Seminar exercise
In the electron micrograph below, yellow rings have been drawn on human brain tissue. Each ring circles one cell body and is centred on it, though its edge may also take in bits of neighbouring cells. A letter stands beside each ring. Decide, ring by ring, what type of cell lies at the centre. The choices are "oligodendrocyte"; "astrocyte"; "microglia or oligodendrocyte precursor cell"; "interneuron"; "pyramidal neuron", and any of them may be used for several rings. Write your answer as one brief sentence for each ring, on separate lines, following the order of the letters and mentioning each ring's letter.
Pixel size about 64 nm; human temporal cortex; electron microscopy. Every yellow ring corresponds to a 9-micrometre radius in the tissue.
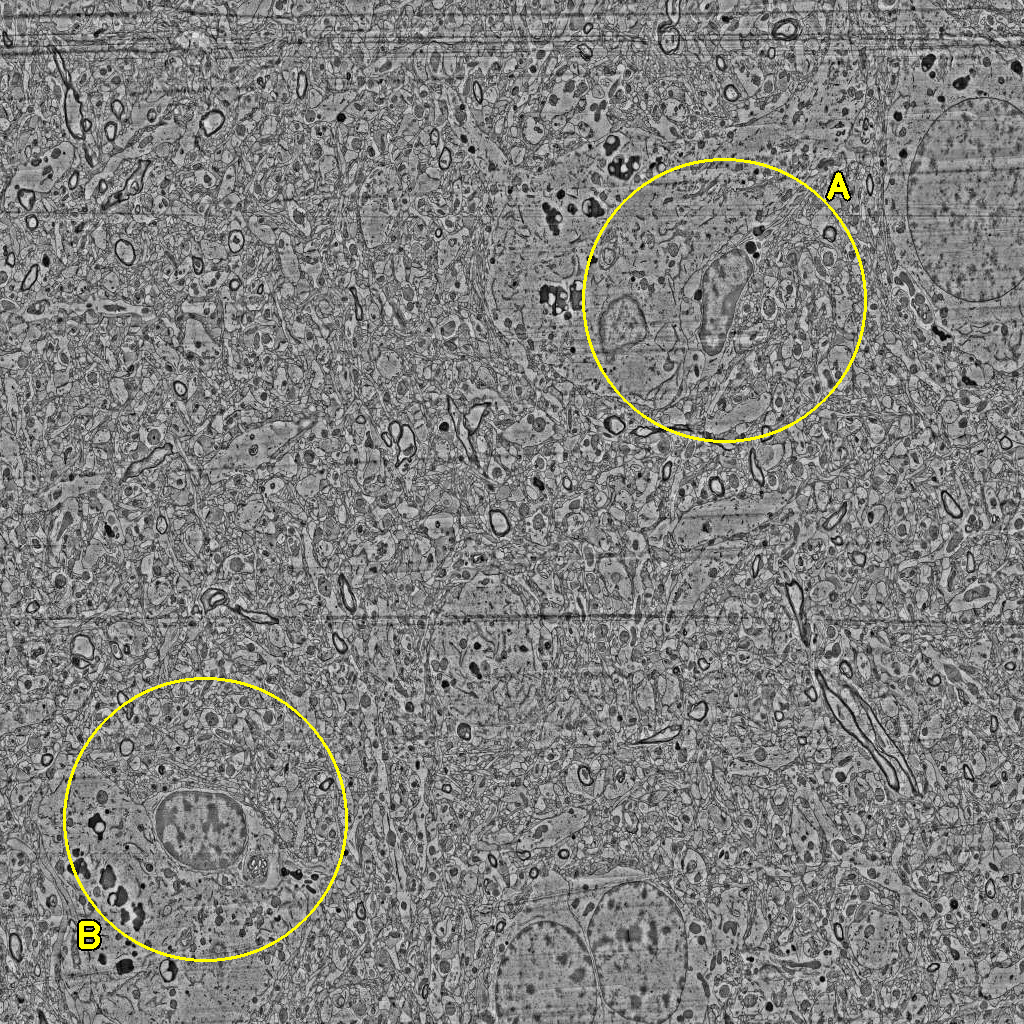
The cell in the middle of ring A is a microglial cell or oligodendrocyte precursor cell.
The cell in the middle of ring B is a microglial cell or oligodendrocyte precursor cell.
